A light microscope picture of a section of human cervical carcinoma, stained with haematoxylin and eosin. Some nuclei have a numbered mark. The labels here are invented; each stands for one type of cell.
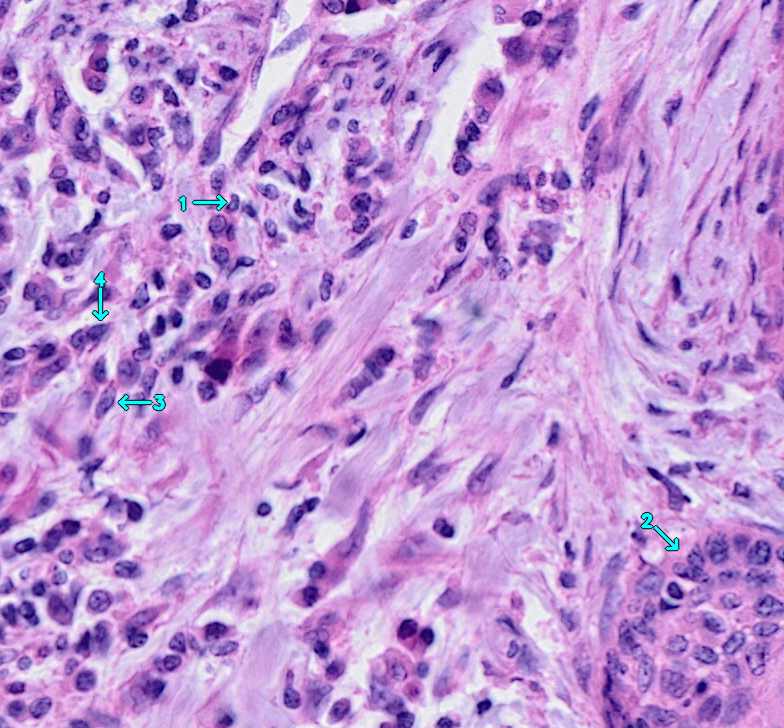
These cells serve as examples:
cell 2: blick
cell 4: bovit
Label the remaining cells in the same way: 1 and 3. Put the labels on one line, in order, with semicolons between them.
bovit; bovit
